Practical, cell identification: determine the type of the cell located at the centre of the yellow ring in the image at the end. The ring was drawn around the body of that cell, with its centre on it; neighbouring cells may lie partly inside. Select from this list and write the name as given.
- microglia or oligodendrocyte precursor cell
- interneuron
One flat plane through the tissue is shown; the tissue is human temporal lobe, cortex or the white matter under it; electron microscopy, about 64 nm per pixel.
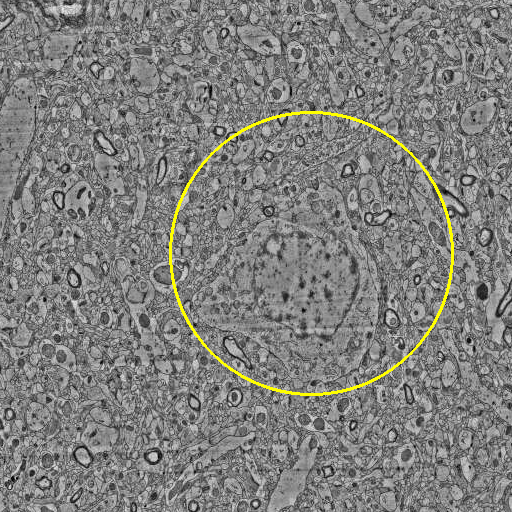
interneuron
